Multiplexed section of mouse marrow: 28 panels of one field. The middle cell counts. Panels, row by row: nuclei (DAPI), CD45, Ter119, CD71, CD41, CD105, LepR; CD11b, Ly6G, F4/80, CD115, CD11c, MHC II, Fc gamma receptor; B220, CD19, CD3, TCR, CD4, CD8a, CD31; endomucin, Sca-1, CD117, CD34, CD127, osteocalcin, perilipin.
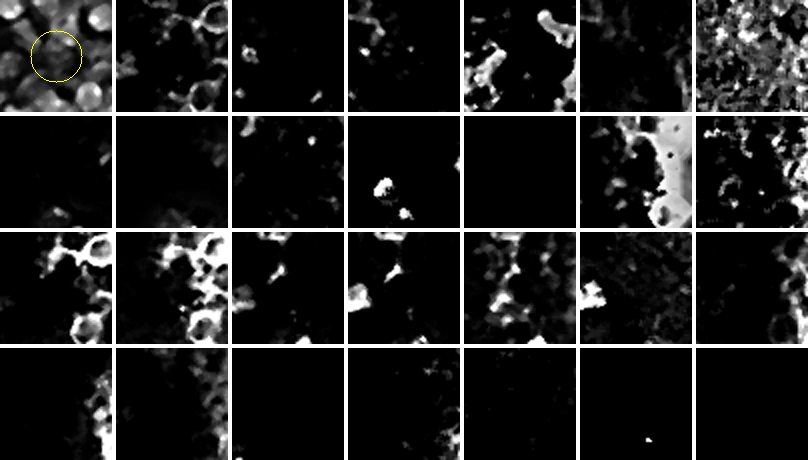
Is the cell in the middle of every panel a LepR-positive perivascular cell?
Yes, it is a LepR-positive perivascular cell.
